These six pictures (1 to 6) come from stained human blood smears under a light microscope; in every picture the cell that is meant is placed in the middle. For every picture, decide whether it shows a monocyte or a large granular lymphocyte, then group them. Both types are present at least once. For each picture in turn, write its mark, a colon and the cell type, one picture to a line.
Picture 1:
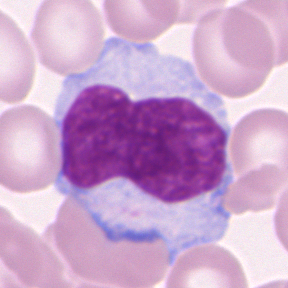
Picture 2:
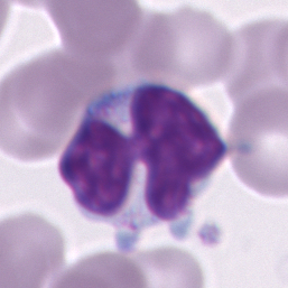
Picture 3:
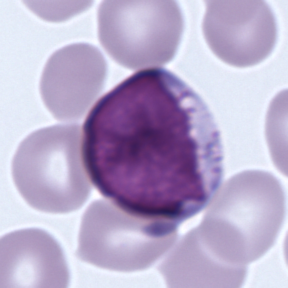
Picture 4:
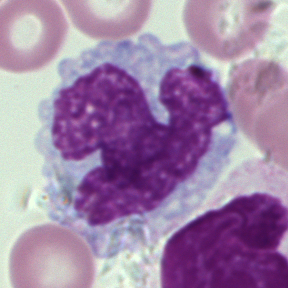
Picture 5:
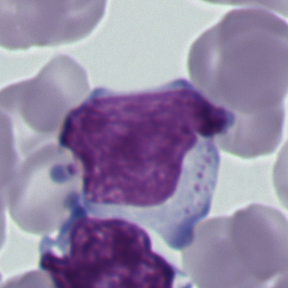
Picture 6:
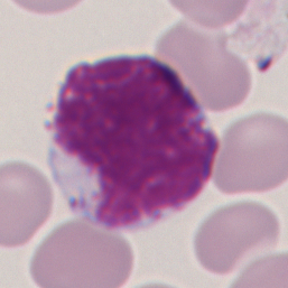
1: monocyte
2: large granular lymphocyte
3: large granular lymphocyte
4: monocyte
5: large granular lymphocyte
6: large granular lymphocyte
